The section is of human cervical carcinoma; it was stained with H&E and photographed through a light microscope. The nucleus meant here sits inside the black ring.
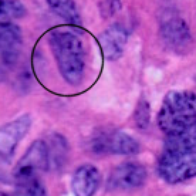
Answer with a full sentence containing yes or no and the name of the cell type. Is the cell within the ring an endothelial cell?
No, on this slide the cell within the ring is a squamous carcinoma cell, not an endothelial cell.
